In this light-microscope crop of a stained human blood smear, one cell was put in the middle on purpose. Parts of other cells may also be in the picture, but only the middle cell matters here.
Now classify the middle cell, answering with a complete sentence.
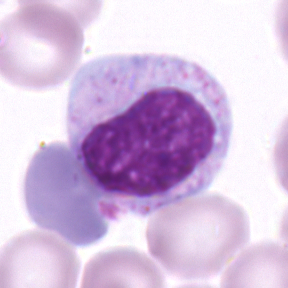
In short, the cell at the center is a metamyelocyte.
